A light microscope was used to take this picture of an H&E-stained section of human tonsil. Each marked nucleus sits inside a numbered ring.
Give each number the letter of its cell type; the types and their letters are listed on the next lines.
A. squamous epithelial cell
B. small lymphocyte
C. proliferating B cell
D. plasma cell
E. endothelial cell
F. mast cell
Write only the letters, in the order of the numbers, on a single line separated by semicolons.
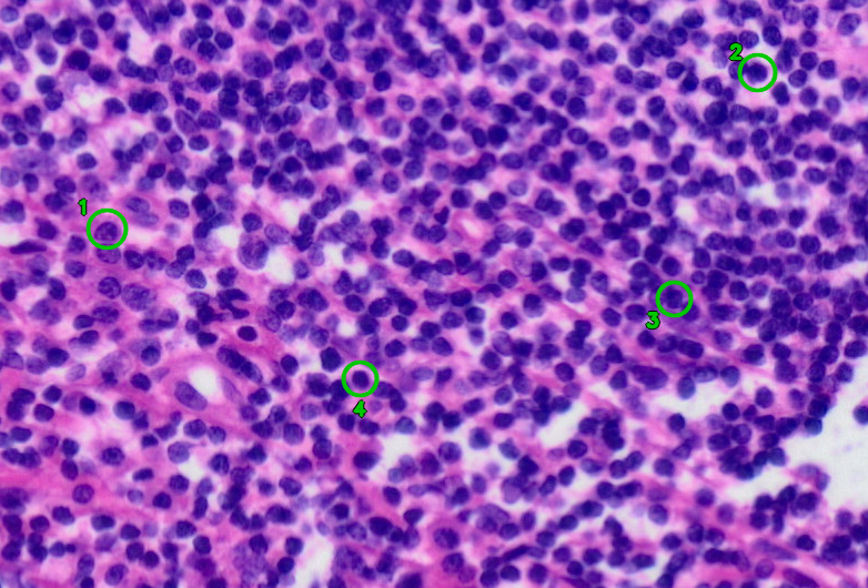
D; B; B; B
